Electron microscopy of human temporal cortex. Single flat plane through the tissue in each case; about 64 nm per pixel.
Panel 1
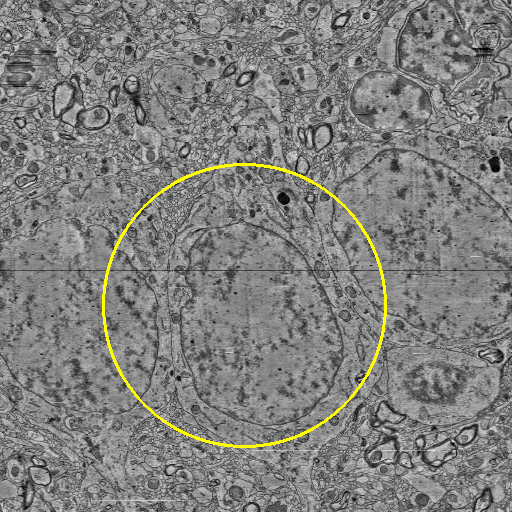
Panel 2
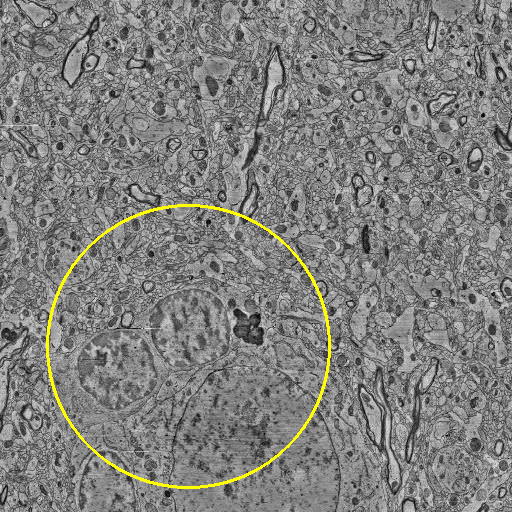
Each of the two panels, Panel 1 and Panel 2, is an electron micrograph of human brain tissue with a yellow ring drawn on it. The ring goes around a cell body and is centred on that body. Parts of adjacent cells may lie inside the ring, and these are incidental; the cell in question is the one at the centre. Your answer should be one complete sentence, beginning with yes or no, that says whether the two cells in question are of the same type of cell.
No, the two cells are of two types.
